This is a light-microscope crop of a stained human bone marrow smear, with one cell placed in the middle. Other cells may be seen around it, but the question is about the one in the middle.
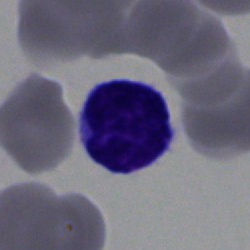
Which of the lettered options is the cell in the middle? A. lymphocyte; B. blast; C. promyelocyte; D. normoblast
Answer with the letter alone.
A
